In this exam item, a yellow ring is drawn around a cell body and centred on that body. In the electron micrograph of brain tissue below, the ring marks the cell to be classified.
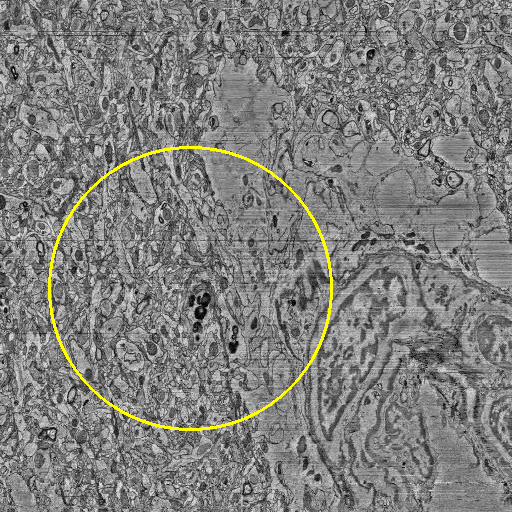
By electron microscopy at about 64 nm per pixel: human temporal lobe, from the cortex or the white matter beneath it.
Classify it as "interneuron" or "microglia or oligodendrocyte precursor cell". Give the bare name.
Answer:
microglia or oligodendrocyte precursor cell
